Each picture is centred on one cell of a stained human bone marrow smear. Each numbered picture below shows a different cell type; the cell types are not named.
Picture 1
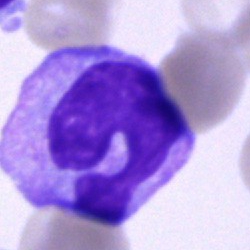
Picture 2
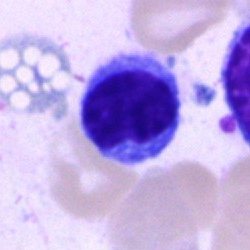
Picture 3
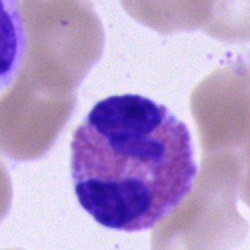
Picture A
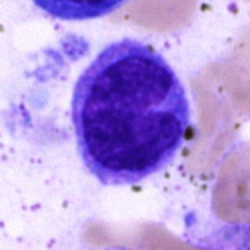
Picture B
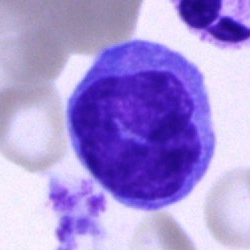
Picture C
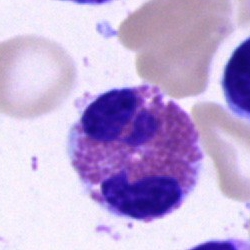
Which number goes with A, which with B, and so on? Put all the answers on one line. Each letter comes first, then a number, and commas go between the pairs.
A 1, B 1, C 3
